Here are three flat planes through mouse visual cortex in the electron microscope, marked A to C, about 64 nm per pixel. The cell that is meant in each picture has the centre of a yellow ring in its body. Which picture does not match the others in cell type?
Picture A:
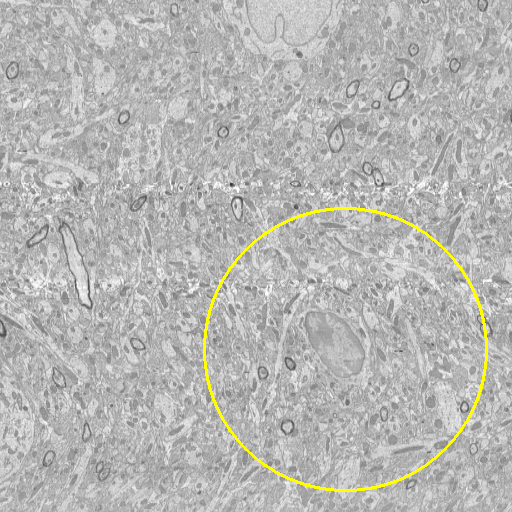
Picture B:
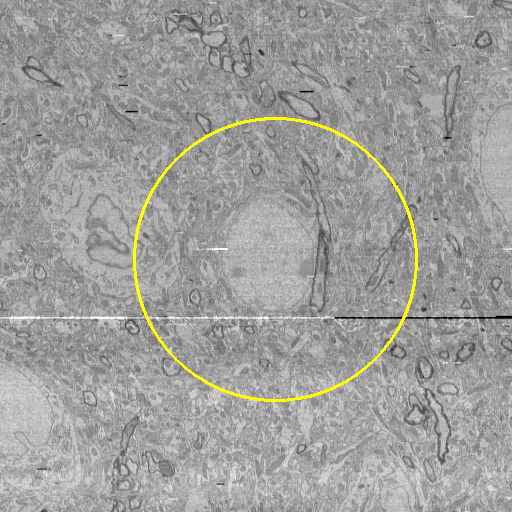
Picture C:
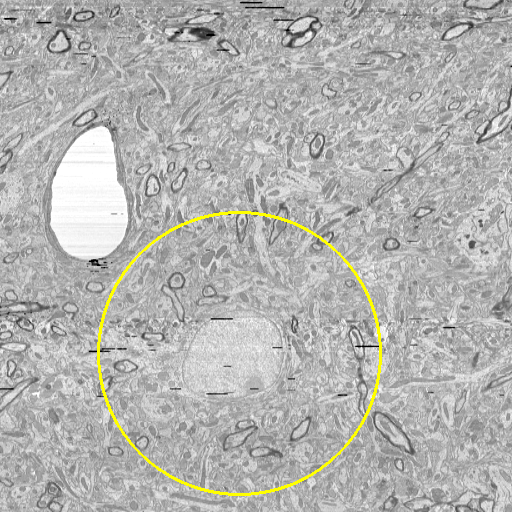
Unlike the rest, which show astrocytes, picture A shows a microglial cell.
